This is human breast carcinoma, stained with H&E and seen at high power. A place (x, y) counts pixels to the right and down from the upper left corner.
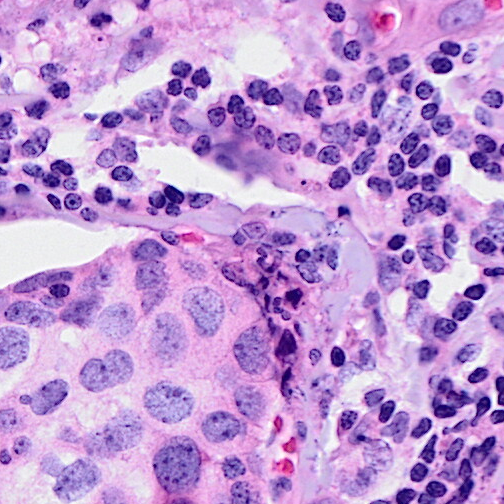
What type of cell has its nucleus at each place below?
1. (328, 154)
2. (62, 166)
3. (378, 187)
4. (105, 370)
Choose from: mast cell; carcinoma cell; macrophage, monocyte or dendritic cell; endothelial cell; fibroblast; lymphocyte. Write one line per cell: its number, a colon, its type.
1: lymphocyte
2: lymphocyte
3: lymphocyte
4: carcinoma cell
